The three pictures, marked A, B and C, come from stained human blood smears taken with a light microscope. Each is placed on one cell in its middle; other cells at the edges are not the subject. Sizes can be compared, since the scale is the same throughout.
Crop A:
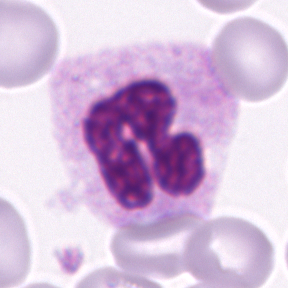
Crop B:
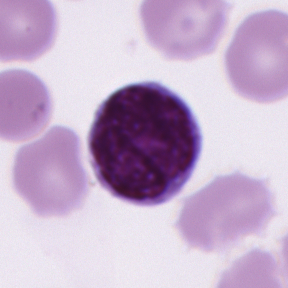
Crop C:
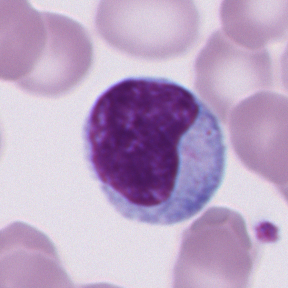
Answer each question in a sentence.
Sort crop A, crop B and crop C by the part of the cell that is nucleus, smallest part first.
They run A, C, B, the least filled first.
